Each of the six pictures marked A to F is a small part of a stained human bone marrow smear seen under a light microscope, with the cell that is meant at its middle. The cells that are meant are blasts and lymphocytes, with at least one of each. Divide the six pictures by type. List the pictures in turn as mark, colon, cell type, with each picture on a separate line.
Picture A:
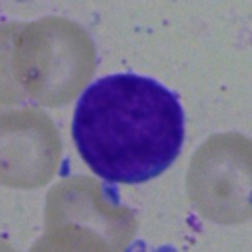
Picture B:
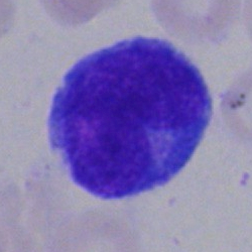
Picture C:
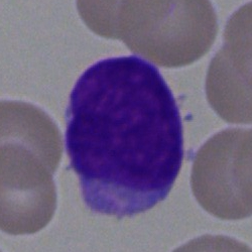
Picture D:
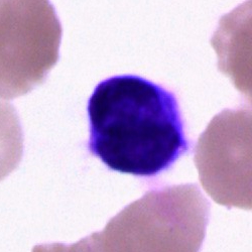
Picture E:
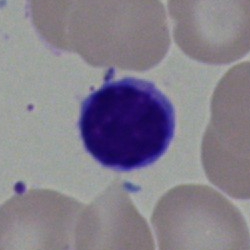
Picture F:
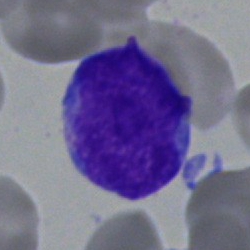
A: lymphocyte
B: blast
C: blast
D: lymphocyte
E: lymphocyte
F: blast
